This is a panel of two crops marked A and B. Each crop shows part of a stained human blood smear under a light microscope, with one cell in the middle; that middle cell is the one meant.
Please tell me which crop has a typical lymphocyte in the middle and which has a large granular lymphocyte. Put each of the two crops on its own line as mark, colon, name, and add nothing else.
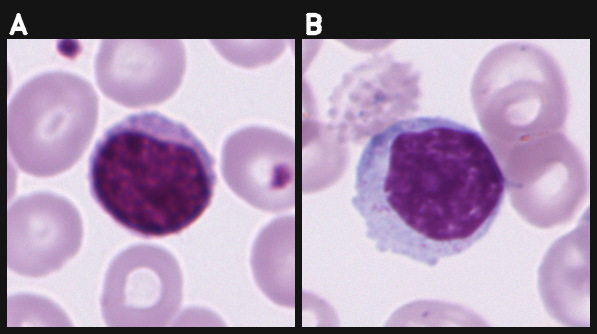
A: large granular lymphocyte
B: typical lymphocyte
